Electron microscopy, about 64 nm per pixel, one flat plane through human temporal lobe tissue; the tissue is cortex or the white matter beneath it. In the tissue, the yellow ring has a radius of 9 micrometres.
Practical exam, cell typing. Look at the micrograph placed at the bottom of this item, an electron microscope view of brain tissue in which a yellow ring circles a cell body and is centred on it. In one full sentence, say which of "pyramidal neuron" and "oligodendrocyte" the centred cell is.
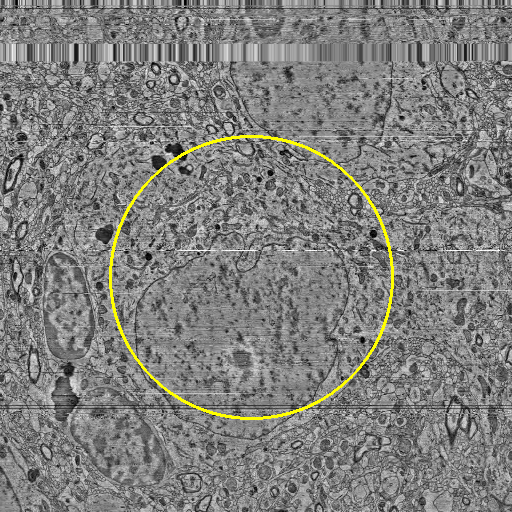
Given the options, a pyramidal neuron fits the cell whose body the yellow ring is centred on.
